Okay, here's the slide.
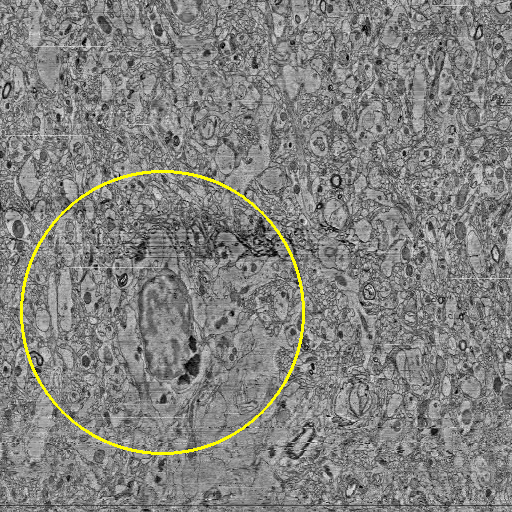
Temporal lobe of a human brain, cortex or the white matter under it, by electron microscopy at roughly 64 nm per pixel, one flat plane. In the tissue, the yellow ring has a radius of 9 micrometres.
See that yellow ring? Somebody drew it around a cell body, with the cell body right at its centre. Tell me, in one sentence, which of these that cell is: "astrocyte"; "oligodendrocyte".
The cell in the middle of the ring is an oligodendrocyte.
